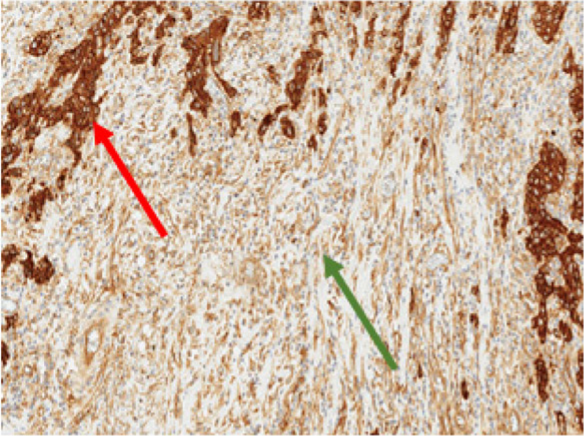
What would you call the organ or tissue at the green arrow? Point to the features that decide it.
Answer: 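The arrow points to loose tissue of elongated spindle cells in streaming bundles. This tissue lies between the dark nests of cells. On this evidence: stroma.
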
